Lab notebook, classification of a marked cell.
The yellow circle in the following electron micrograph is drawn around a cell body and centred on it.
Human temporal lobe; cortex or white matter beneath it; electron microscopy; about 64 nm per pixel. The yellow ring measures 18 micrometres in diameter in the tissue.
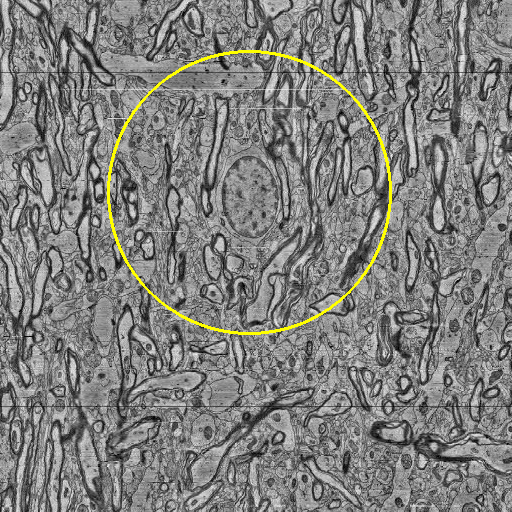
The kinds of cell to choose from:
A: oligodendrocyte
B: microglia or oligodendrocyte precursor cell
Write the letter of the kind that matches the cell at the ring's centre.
B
